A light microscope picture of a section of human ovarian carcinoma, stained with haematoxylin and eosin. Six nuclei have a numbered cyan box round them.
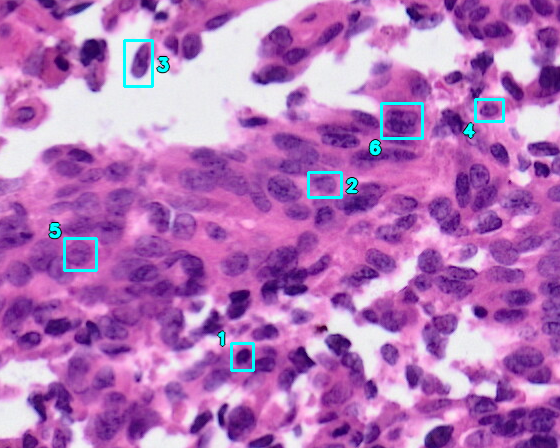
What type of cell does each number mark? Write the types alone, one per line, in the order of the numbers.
carcinoma cell
macrophage or monocyte
carcinoma cell
macrophage or monocyte
carcinoma cell
carcinoma cell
